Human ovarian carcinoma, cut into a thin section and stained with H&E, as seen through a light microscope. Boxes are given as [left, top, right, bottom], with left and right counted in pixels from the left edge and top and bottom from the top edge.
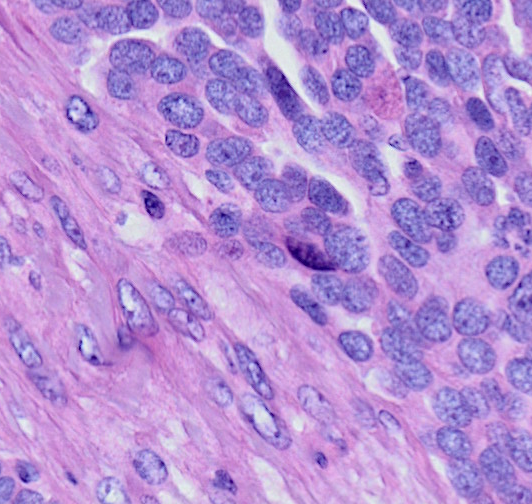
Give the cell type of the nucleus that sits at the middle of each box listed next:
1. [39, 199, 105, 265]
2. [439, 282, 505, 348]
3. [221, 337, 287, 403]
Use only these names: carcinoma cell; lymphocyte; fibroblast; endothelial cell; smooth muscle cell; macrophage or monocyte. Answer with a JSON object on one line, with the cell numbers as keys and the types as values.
{"1": "fibroblast", "2": "carcinoma cell", "3": "fibroblast"}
